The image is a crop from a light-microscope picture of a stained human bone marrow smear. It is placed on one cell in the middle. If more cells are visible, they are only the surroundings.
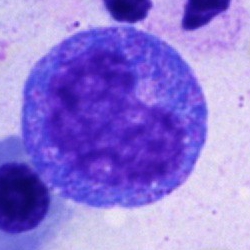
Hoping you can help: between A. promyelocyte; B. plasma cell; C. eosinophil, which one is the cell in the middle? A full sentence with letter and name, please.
The cell in the middle is a promyelocyte, and so option A is correct.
